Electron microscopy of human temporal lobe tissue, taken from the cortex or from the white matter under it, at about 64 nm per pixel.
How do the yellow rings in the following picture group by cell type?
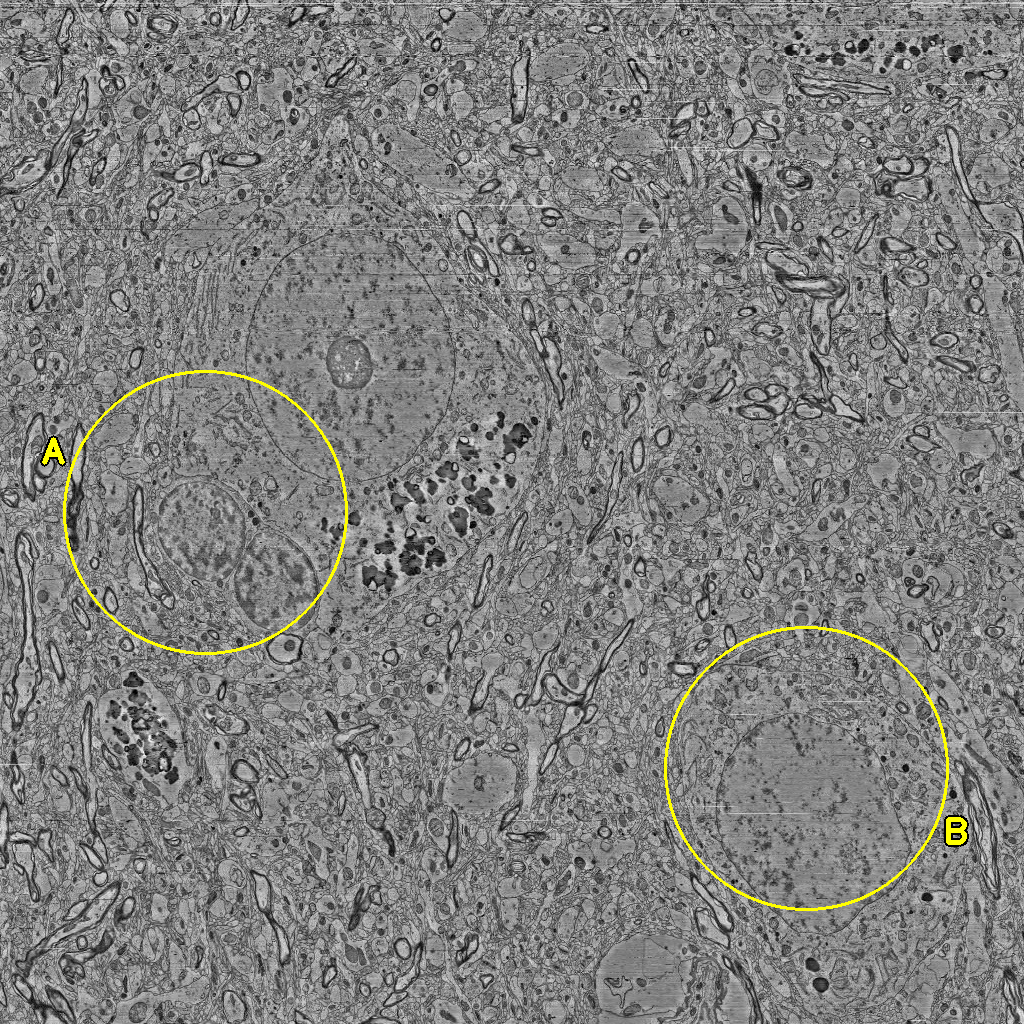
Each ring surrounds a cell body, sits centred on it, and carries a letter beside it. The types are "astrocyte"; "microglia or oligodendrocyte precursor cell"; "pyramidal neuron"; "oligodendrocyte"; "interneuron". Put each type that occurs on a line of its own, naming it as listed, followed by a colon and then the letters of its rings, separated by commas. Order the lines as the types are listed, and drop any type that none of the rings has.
pyramidal neuron: B
oligodendrocyte: A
